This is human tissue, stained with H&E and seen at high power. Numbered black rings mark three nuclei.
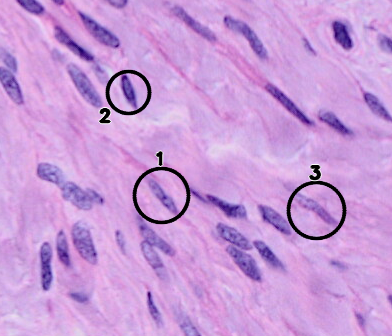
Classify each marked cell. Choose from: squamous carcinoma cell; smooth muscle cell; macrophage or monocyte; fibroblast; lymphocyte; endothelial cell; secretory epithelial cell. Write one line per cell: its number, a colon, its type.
1: fibroblast
2: fibroblast
3: smooth muscle cell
